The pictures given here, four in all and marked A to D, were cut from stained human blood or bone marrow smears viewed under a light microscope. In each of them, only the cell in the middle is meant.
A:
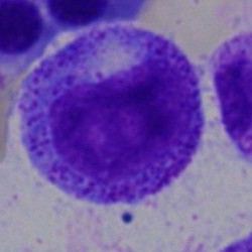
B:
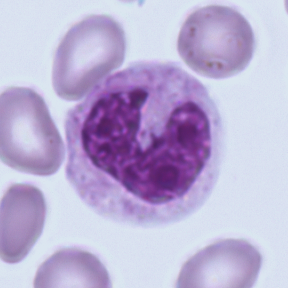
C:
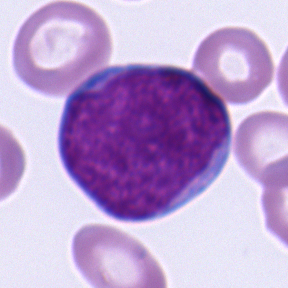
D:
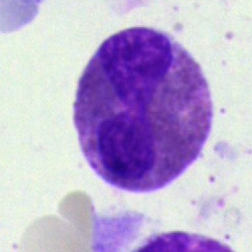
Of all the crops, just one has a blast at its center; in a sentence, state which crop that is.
As for which crop shows a blast, it is crop C.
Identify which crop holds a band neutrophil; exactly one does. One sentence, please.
The one that shows a band neutrophil is crop B.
